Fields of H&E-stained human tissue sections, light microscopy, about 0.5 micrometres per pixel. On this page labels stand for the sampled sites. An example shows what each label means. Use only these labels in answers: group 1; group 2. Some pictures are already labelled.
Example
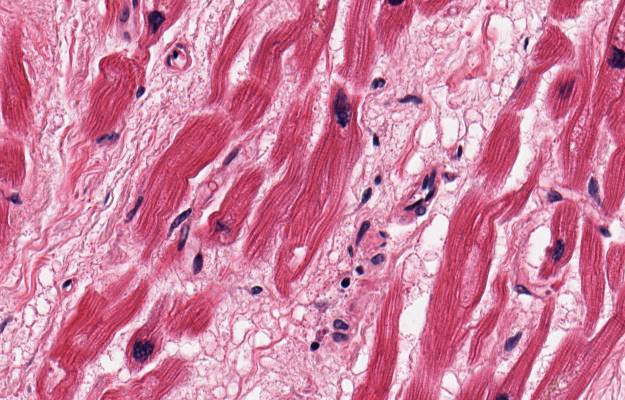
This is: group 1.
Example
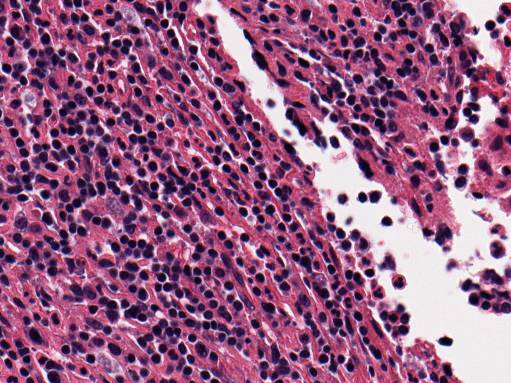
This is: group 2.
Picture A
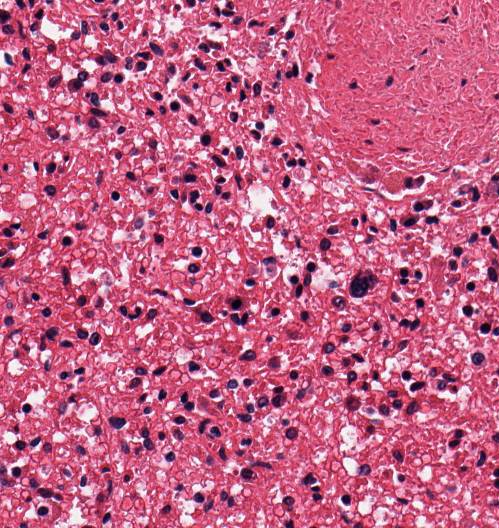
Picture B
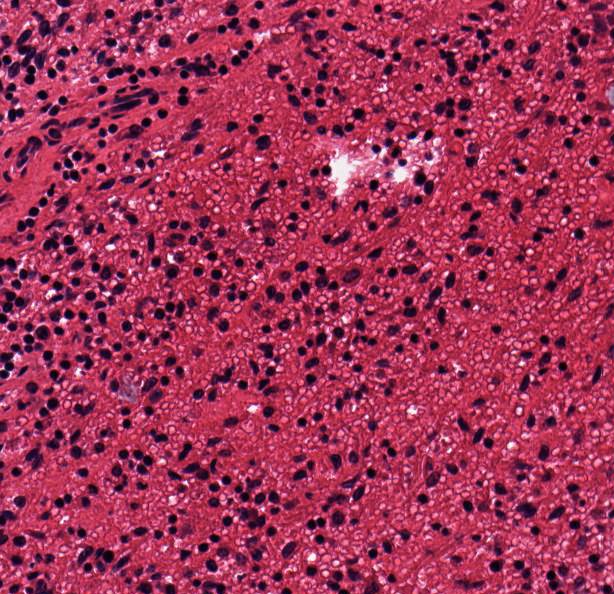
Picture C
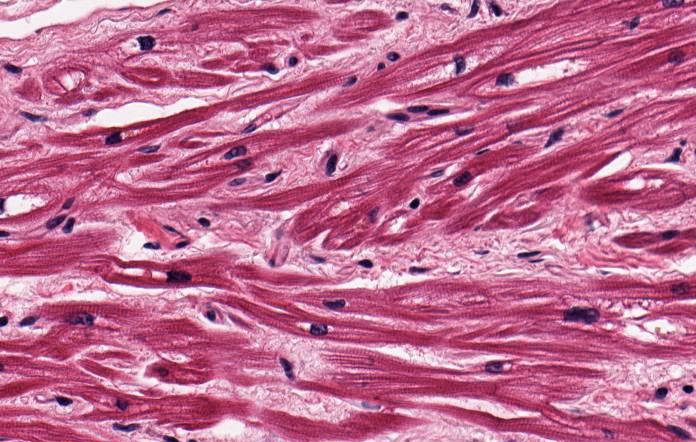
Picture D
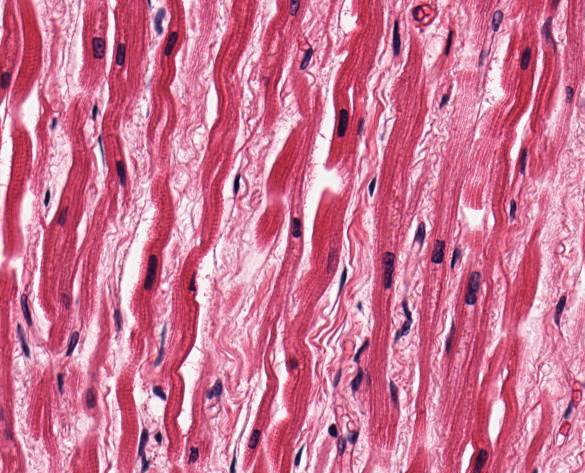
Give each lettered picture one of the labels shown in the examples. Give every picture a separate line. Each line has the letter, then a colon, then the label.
A: group 2.
B: group 2.
C: group 1.
D: group 1.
